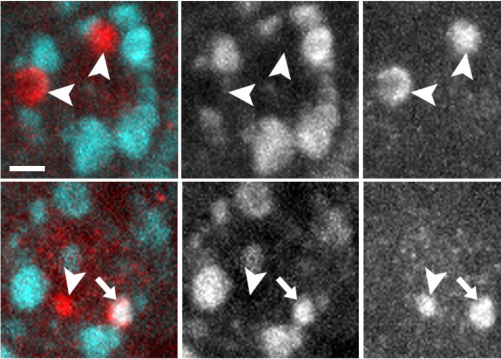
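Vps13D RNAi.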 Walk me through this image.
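Scattered among them are a few round objects of similar size that are bright red and show little or no cyan. One red object also carries cyan staining and appears pale where the colours overlap.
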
